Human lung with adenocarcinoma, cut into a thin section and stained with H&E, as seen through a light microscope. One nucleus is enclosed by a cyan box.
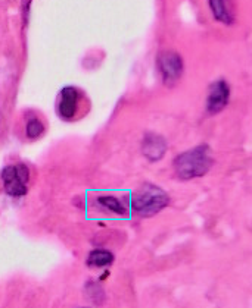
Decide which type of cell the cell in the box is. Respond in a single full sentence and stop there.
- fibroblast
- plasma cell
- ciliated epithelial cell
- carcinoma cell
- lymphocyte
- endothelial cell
It is a plasma cell that the cell in the box represents.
